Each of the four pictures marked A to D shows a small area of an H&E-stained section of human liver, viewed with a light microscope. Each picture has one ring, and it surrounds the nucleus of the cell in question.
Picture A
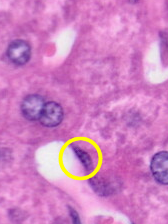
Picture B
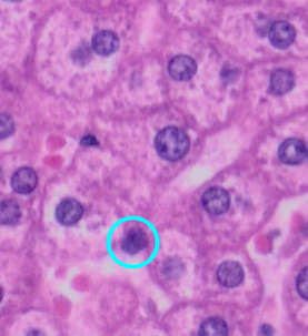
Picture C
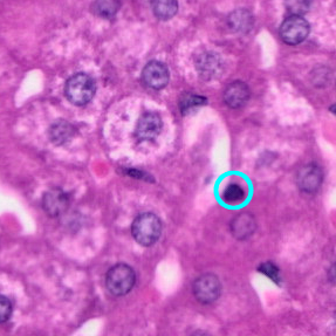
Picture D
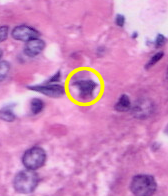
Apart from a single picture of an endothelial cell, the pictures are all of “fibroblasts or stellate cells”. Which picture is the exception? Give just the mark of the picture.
B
